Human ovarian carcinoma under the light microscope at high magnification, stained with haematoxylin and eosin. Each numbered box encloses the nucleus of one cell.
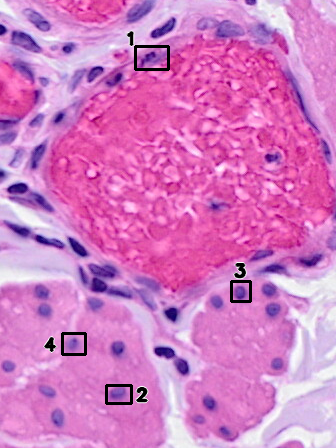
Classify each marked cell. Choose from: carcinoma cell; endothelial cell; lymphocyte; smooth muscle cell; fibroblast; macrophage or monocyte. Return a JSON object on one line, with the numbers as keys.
{"1": "endothelial cell", "2": "smooth muscle cell", "3": "smooth muscle cell", "4": "smooth muscle cell"}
